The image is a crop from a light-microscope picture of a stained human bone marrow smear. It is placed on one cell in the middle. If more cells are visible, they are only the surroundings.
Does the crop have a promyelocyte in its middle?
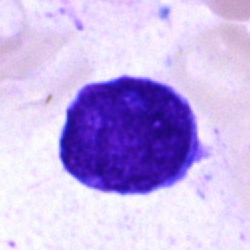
no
